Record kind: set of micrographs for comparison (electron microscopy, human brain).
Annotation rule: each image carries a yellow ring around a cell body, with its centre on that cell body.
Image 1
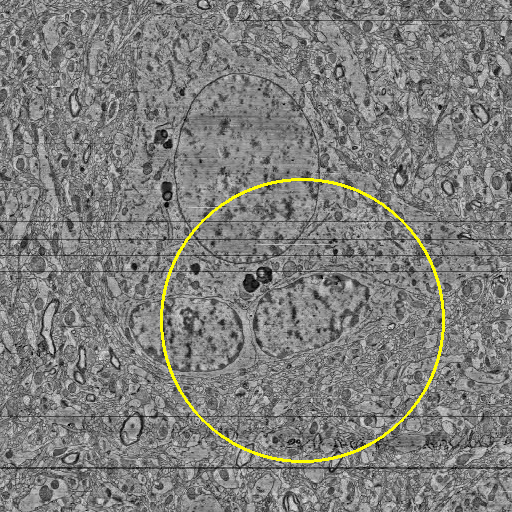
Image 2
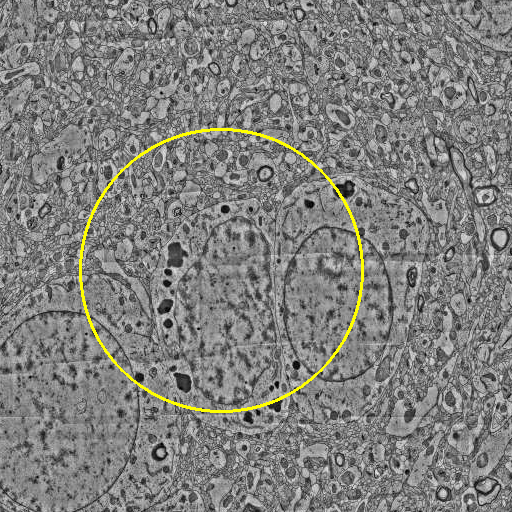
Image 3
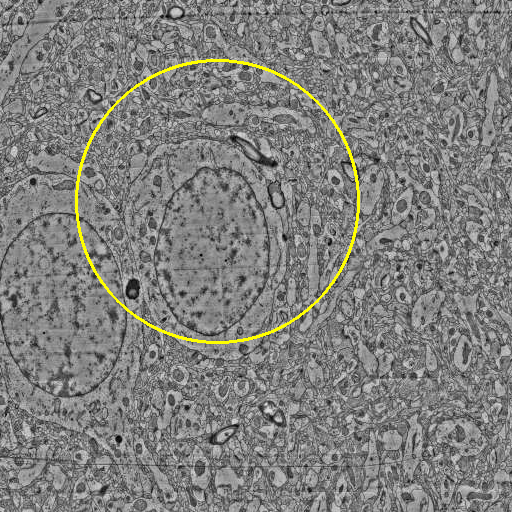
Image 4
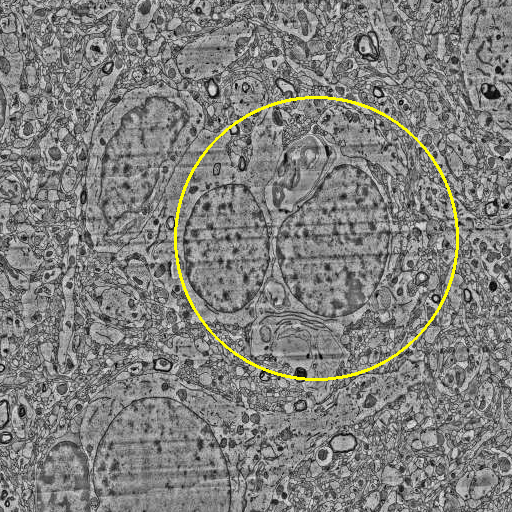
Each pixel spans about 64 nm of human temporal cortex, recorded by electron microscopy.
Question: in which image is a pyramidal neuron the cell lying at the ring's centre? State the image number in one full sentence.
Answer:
In image 3, the ring is centred on the cell in question.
